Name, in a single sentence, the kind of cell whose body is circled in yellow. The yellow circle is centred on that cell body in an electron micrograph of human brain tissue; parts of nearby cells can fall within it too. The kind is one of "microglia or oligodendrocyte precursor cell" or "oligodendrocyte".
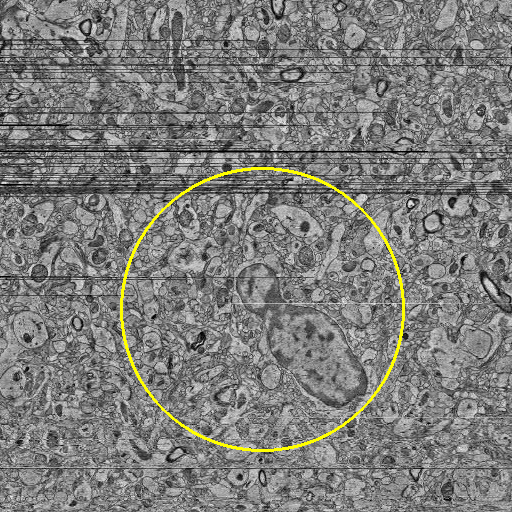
The circled cell body belongs to a microglial cell or oligodendrocyte precursor cell.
